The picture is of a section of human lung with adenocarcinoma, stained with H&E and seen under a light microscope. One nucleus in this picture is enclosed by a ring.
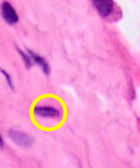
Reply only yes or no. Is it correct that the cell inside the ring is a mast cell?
yes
